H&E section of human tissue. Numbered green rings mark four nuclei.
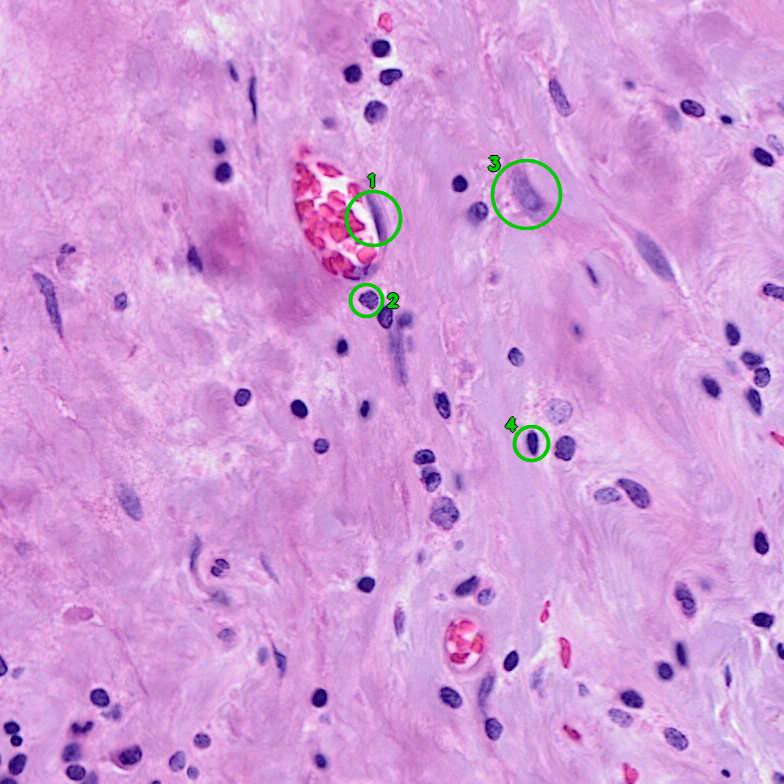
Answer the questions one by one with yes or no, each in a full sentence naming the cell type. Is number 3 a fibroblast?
Yes, the cell referred to as number 3 is a fibroblast.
